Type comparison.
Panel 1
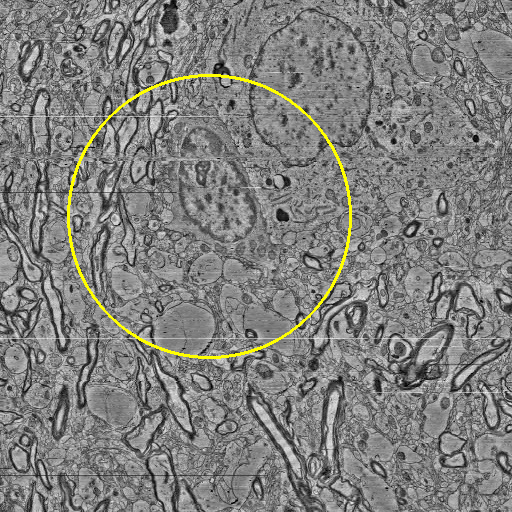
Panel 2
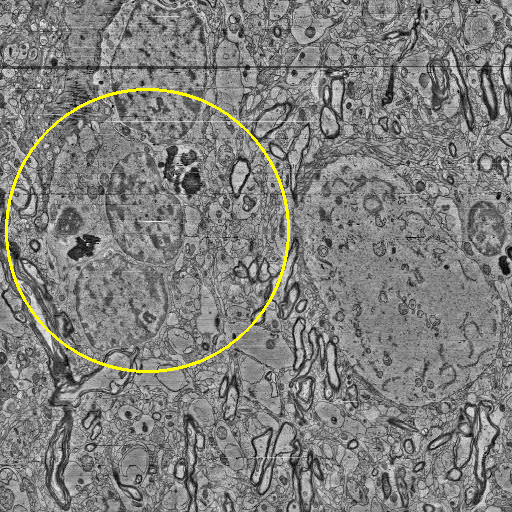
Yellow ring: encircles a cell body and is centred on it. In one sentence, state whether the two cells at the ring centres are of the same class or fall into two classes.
In these panels, the two cells at the ring centres are of the same class.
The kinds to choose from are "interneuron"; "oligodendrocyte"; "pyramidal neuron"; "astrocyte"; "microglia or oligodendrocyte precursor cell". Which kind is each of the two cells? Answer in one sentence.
Both rings mark an oligodendrocyte, one in each picture.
